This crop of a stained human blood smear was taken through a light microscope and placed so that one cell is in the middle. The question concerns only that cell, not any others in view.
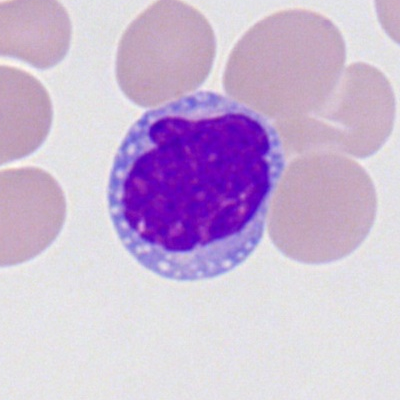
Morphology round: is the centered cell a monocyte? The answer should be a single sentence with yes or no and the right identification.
Yes, the cell here in the middle is a monocyte.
